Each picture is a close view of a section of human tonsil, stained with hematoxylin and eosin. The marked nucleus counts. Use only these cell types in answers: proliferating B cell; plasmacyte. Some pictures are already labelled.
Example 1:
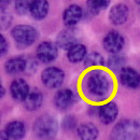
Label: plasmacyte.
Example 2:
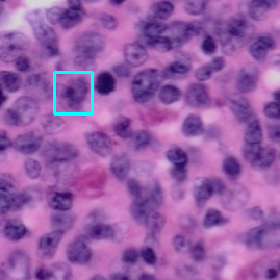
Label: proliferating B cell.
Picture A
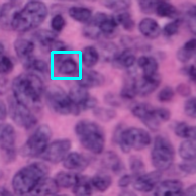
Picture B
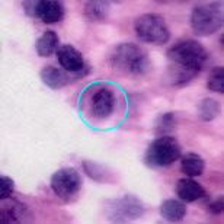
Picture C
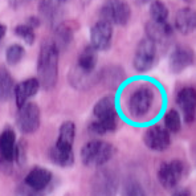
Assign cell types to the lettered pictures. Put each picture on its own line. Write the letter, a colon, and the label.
A: proliferating B cell.
B: plasmacyte.
C: plasmacyte.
